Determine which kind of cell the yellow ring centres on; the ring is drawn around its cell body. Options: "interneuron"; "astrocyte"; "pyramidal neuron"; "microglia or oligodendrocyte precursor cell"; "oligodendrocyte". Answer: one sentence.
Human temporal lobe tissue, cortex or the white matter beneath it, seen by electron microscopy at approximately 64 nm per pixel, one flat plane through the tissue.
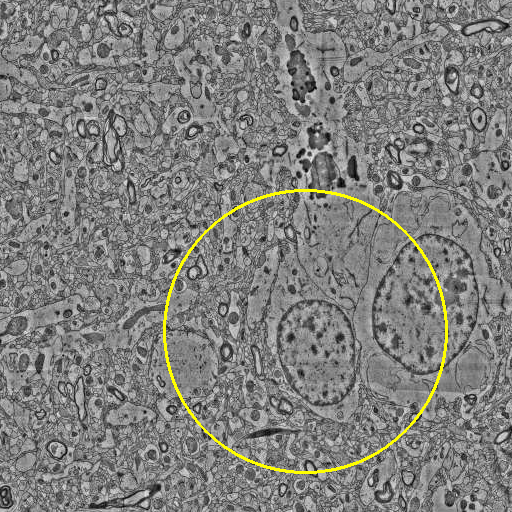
The ring centres on an astrocyte.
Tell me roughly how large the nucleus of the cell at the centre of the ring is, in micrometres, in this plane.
In this plane, the nucleus of the cell at the centre of the ring measures about 7 by 5 micrometres.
